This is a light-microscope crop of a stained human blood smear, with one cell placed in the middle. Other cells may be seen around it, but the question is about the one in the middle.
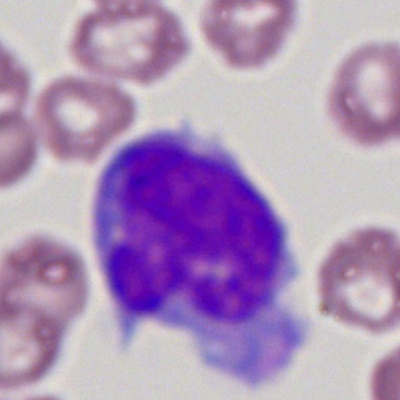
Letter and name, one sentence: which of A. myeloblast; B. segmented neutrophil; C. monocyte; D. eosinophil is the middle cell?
The central cell is a monocyte, which makes option C the right answer.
